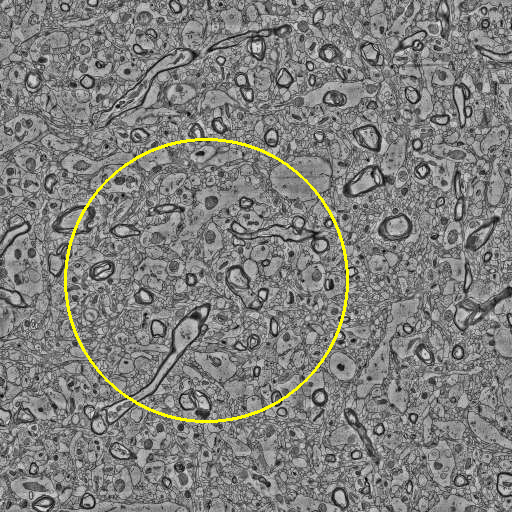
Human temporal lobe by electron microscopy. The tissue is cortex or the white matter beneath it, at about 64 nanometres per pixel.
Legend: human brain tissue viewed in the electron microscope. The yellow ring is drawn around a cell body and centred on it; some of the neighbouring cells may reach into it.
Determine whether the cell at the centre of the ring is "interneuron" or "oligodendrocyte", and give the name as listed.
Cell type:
oligodendrocyte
